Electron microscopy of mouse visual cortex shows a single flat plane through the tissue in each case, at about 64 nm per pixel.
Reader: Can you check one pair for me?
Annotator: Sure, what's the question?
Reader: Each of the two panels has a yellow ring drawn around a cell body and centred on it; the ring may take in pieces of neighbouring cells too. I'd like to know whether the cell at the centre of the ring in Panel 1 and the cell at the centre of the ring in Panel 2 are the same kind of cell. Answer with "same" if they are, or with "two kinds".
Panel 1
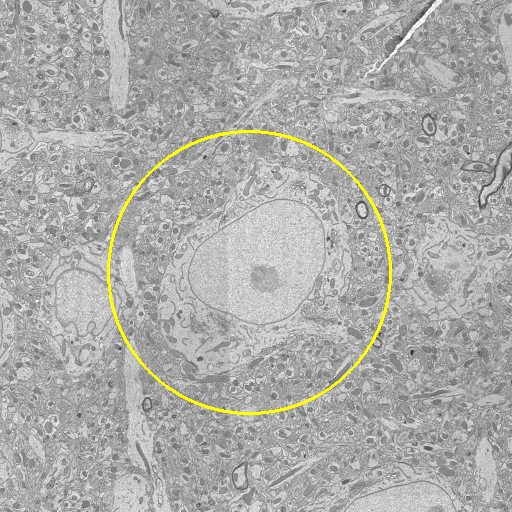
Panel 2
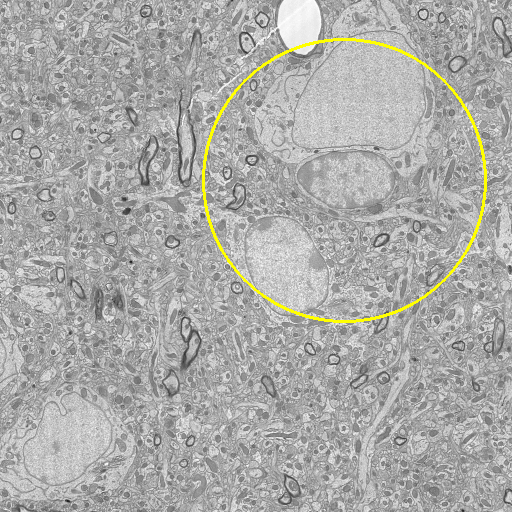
two kinds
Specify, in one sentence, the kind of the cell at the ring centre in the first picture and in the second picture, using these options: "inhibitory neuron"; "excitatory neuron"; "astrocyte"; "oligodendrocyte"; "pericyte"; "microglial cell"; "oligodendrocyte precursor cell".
So the first is an excitatory neuron, the second an oligodendrocyte.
